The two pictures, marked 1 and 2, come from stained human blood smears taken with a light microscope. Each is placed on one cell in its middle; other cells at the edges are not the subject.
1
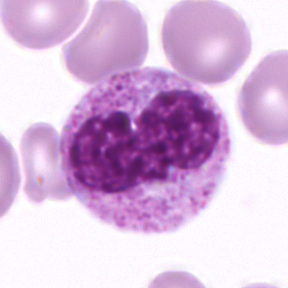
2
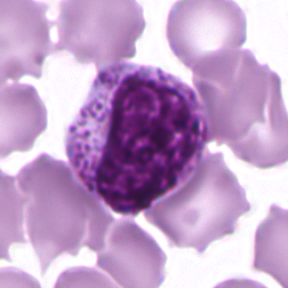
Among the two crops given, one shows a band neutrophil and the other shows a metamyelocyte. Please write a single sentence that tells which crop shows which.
At the centre of crop 1 lies a band neutrophil, and at the centre of crop 2 lies a metamyelocyte.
